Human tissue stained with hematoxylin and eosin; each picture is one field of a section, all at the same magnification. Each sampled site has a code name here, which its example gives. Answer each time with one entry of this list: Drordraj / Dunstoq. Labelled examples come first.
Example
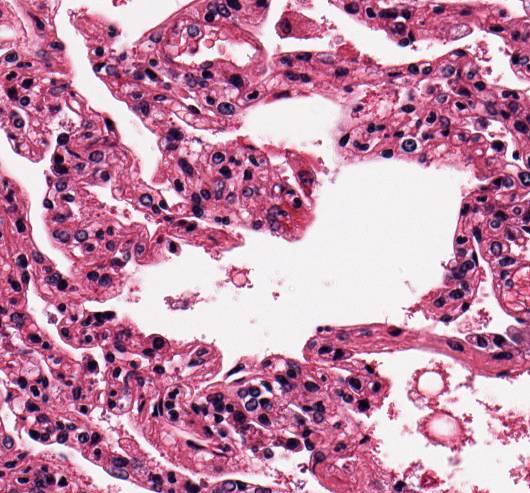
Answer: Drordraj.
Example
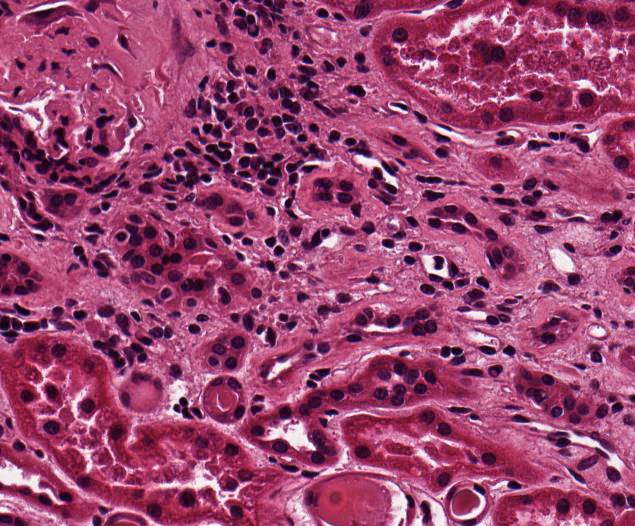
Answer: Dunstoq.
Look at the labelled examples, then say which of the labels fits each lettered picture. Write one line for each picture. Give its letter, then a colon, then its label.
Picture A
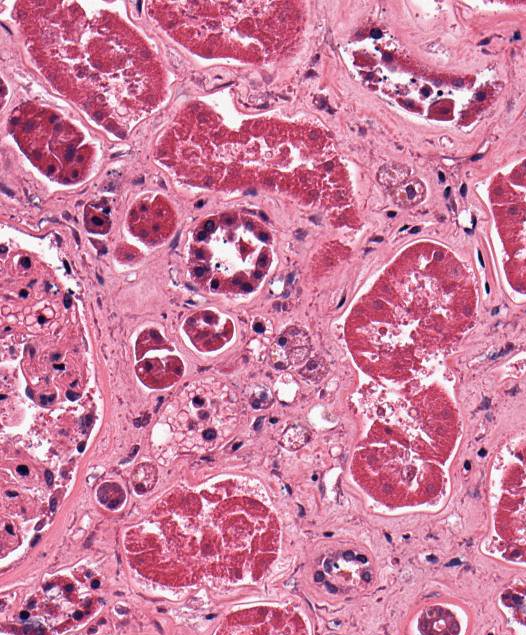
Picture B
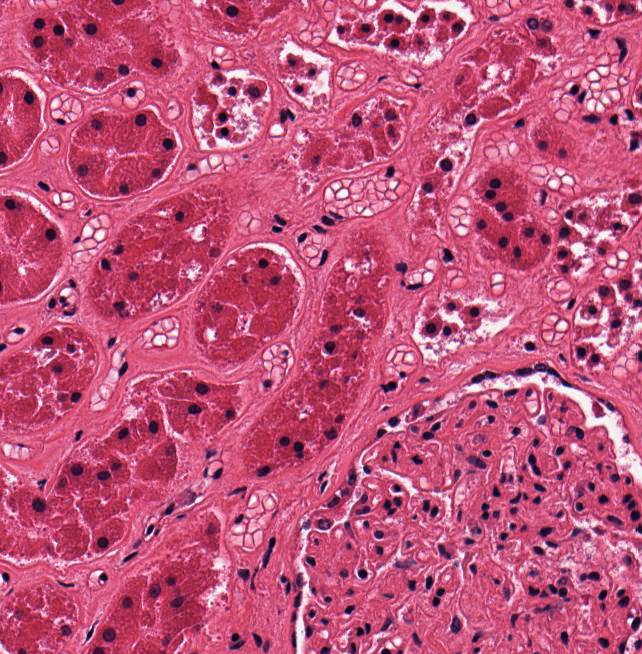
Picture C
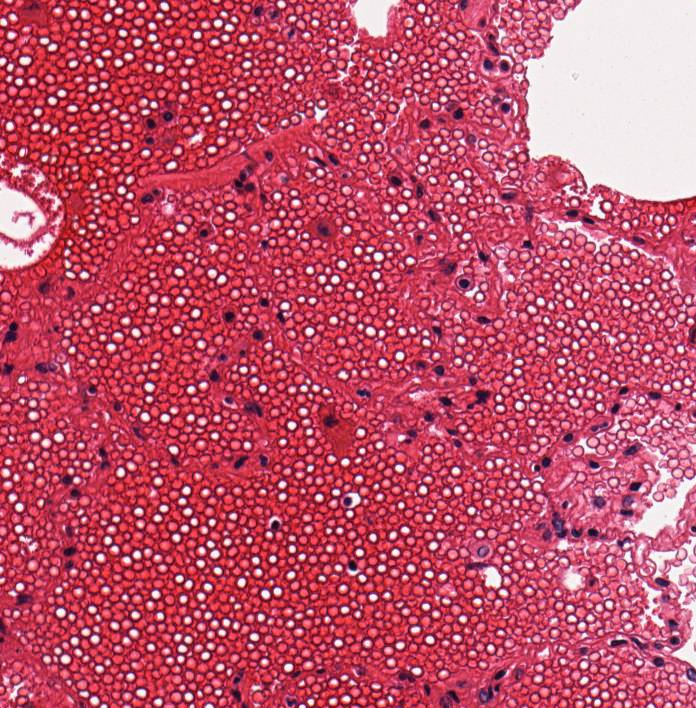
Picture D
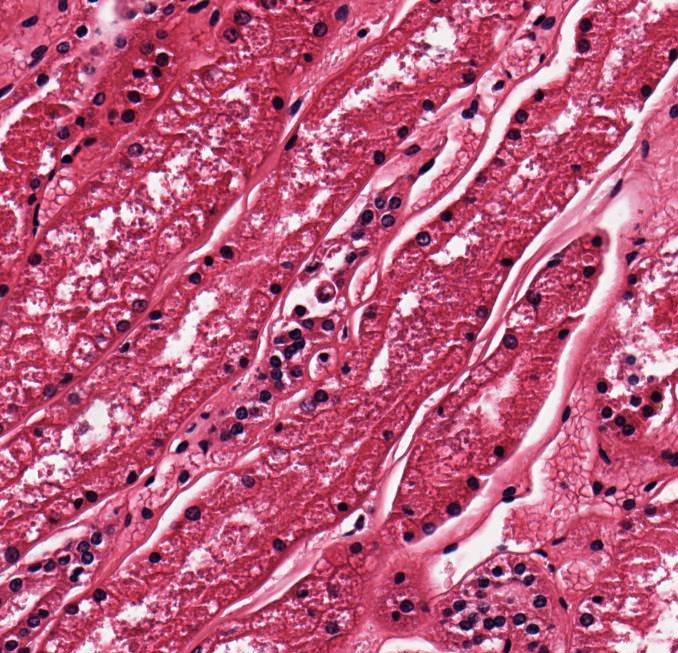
A: Dunstoq.
B: Dunstoq.
C: Drordraj.
D: Dunstoq.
